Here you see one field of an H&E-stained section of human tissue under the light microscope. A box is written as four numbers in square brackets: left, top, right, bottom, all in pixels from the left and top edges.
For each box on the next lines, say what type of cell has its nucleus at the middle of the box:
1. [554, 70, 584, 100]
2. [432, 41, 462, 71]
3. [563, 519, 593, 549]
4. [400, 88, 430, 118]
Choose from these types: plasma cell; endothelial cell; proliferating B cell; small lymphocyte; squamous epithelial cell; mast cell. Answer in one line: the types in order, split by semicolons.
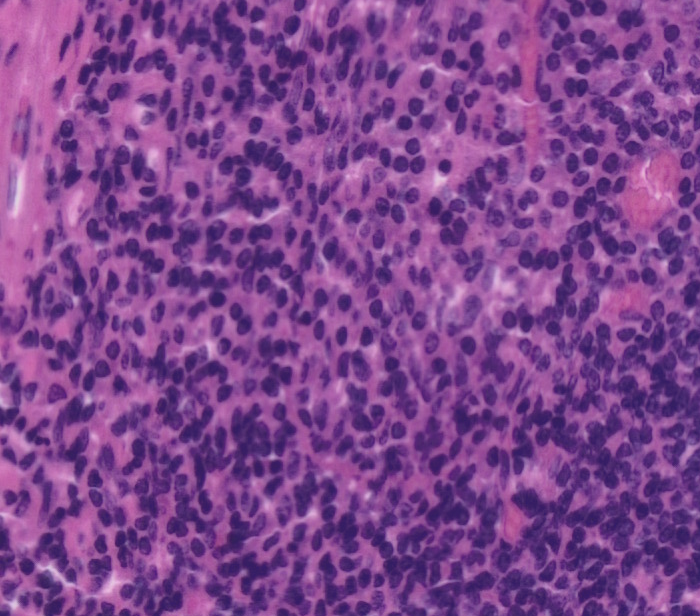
plasma cell; plasma cell; small lymphocyte; plasma cell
